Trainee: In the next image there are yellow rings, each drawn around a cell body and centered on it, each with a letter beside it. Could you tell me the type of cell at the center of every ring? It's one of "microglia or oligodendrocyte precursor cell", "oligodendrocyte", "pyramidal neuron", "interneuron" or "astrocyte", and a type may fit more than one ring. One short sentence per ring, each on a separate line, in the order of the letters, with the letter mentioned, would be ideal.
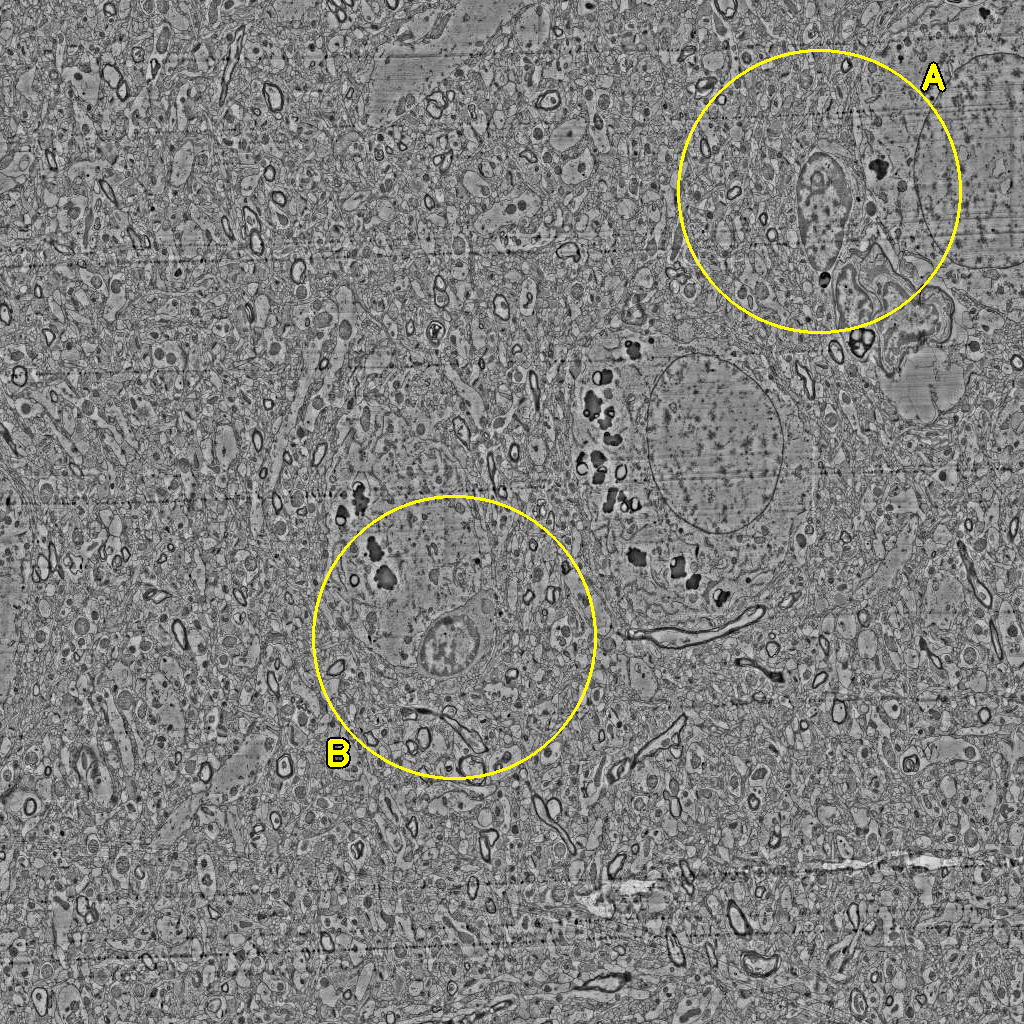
What ring A is centered on is a microglial cell or oligodendrocyte precursor cell.
What ring B is centered on is an oligodendrocyte.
